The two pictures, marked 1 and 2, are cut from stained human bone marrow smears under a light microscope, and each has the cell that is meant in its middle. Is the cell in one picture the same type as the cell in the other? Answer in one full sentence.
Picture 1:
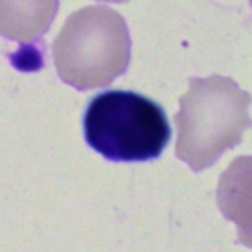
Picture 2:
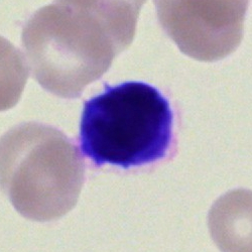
Yes, both are lymphocytes.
